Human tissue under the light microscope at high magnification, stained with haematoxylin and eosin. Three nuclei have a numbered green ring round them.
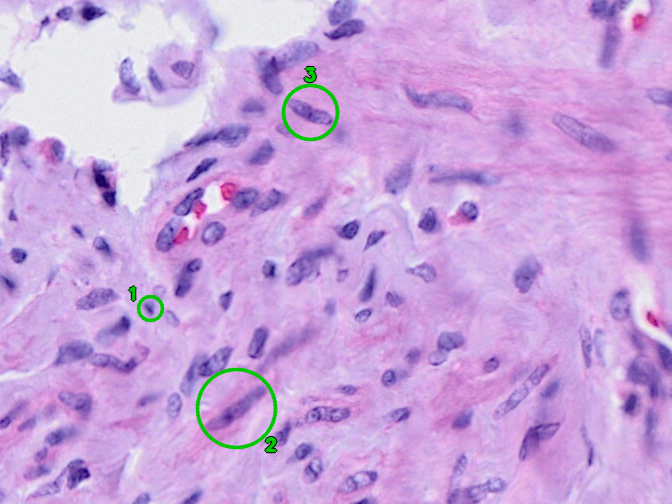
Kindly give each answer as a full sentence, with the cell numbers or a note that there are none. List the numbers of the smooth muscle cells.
Cell 2 is a smooth muscle cell, which is true of none of the other numbered cells.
